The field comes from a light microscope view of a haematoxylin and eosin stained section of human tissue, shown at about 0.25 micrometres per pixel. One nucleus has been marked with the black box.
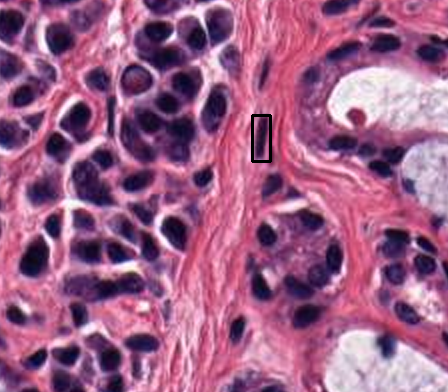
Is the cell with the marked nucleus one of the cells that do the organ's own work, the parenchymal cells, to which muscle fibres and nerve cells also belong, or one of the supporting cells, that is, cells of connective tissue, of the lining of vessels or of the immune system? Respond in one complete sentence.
The marked nucleus is classified as belonging to a supporting cell.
